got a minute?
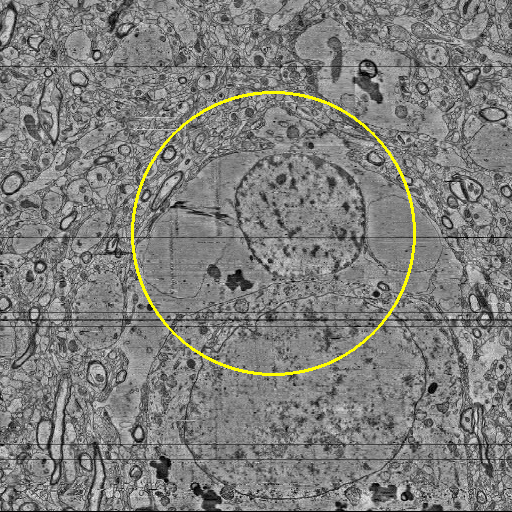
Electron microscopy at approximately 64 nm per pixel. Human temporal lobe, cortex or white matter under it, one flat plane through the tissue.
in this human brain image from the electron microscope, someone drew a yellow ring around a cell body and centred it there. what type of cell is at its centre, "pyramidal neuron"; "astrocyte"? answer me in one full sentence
It's an astrocyte at the middle of that yellow ring in the shot.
